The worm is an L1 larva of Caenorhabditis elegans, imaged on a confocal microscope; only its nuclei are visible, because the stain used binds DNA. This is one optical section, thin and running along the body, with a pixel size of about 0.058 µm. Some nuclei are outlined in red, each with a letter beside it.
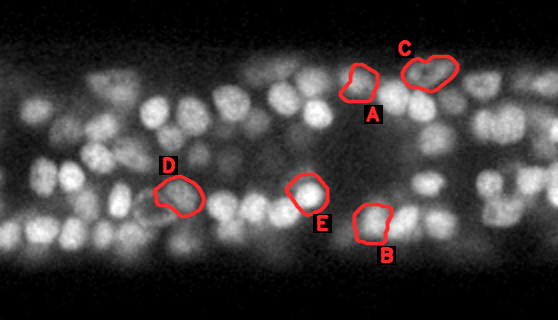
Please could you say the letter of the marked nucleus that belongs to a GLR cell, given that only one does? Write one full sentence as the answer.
It is E that belongs to a GLR cell.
